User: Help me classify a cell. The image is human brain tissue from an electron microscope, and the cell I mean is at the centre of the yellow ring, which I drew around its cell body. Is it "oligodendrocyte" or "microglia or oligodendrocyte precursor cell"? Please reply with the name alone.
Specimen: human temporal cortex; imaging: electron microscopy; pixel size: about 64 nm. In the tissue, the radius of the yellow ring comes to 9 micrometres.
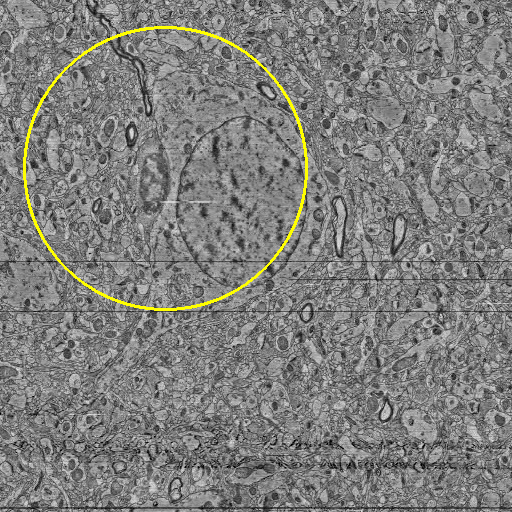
oligodendrocyte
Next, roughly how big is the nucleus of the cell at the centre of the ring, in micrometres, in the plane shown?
The nucleus has a long axis of about 11 micrometres and a short axis of about 9 micrometres in this plane.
